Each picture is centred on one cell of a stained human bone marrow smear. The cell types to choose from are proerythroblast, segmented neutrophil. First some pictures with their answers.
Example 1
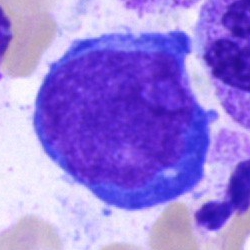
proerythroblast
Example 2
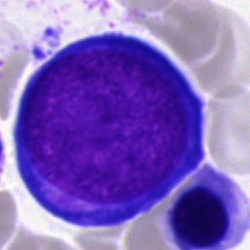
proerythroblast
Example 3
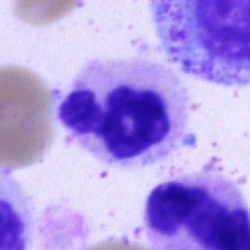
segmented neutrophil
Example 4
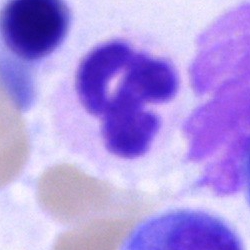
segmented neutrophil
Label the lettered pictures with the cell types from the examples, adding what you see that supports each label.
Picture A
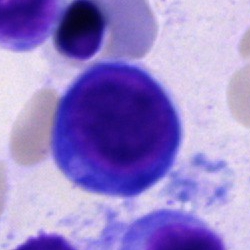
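proerythroblast: The nucleus fills most of the cell, leaving a narrow rim of cytoplasm.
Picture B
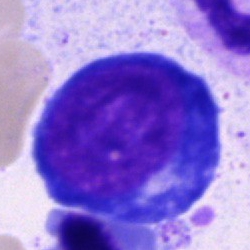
proerythroblast: The cytoplasm forms a narrow rim around the nucleus.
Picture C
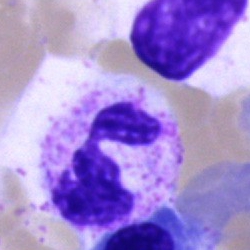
segmented neutrophil: The cytoplasm is plentiful and very pale.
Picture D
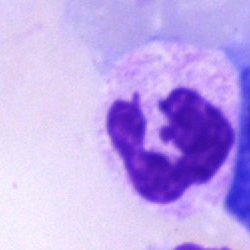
segmented neutrophil: The cytoplasm is plentiful and pale pinkish-lilac.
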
